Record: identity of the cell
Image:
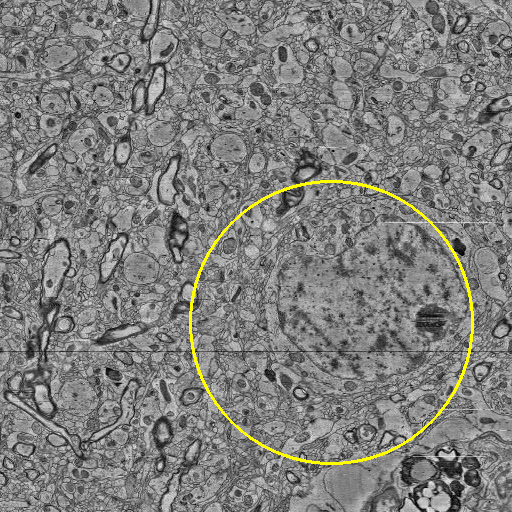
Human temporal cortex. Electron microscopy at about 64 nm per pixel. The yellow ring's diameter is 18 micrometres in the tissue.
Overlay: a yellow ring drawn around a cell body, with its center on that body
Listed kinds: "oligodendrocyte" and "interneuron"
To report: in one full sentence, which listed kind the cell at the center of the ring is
In the image, the cell body at the ring's center belongs to an interneuron.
